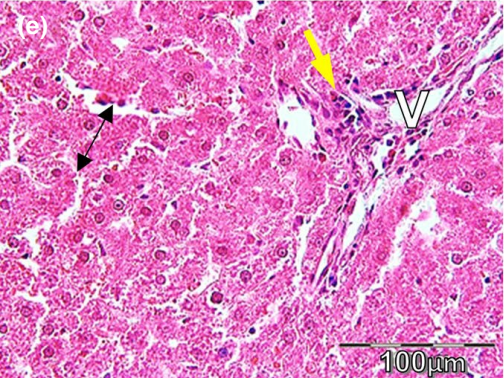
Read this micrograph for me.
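Liver tissue with hepatocyte plates around a vessel. Pink polygonal hepatocytes with round central nuclei and prominent nucleoli are arranged in cords separated by narrow clear sinusoidal spaces. On the right a branching vessel is surrounded by a band of many small, dark elongated and round nuclei in fibrous-looking tissue, consistent with inflammatory cell infiltration. The sinusoids are only mildly widened in places, and the hepatocyte cytoplasm is fairly evenly stained pink.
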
